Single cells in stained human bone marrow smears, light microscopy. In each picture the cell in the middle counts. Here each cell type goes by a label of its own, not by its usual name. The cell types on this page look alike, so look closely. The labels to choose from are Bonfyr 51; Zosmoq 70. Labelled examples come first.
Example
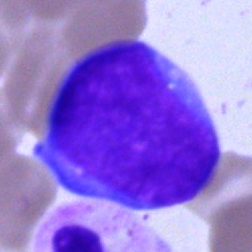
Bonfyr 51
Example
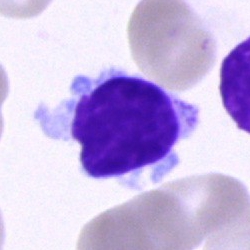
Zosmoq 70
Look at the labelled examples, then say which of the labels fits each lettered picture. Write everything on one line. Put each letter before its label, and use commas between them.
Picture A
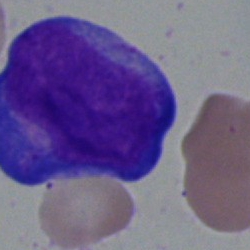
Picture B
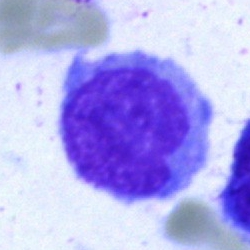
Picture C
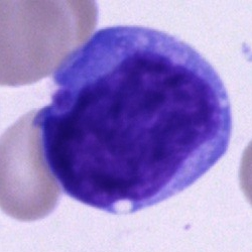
A Bonfyr 51, B Bonfyr 51, C Bonfyr 51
